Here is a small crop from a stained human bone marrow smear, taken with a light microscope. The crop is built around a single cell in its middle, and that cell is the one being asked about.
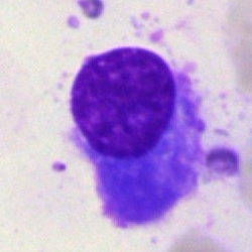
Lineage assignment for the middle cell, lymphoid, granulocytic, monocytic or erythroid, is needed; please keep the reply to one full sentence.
The lymphoid lineage is the lineage of the cell in the middle.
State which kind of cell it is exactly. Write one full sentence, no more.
The centrally located cell in the crop is a plasma cell.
